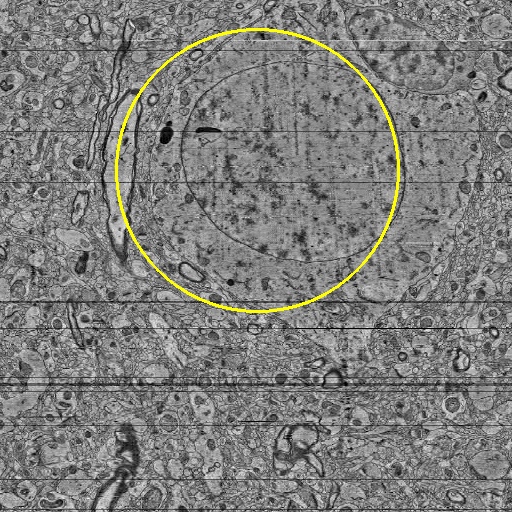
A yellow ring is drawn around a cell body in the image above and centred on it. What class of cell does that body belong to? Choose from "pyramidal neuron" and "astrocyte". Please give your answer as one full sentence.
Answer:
The yellow ring above is centred on the cell body of a pyramidal neuron.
